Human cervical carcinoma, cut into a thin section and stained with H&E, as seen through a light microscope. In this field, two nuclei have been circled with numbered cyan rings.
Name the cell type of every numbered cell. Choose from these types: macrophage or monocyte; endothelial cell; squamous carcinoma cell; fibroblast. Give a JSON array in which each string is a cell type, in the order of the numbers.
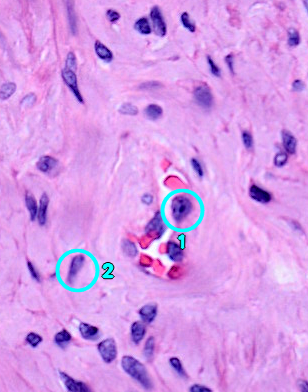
["endothelial cell", "fibroblast"]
